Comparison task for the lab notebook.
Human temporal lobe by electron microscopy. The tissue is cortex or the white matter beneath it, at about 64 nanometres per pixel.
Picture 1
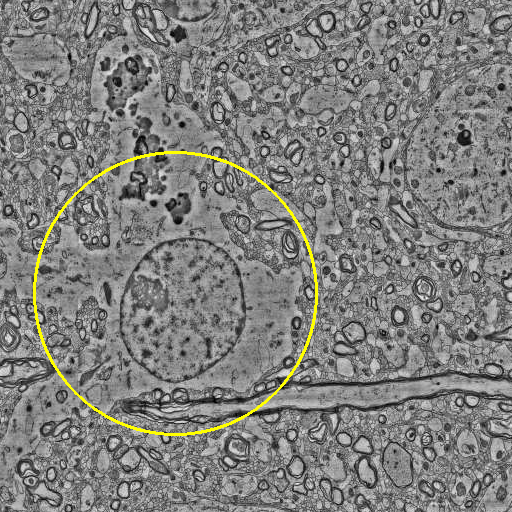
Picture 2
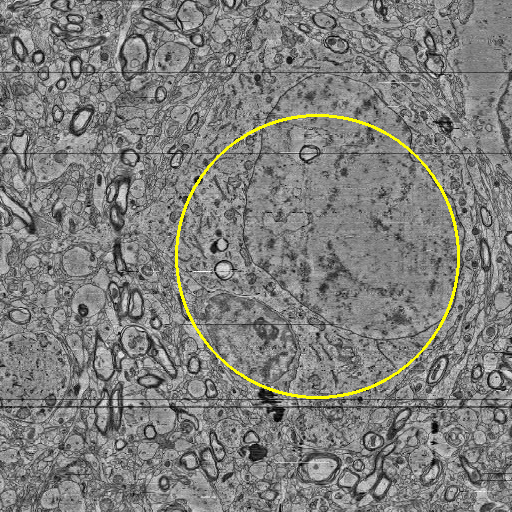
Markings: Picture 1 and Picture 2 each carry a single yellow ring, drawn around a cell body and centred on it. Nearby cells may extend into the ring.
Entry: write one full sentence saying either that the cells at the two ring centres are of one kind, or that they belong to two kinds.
The cells sitting at the ring centres in Picture 1 and Picture 2 belong to two kinds.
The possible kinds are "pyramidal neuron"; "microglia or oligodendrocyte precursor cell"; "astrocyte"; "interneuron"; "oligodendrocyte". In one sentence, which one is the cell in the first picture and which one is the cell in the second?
The cell ringed in the second picture is a pyramidal neuron, whereas the one ringed in the first is an astrocyte.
